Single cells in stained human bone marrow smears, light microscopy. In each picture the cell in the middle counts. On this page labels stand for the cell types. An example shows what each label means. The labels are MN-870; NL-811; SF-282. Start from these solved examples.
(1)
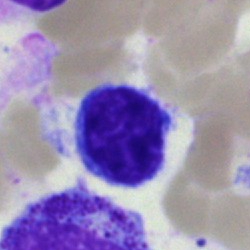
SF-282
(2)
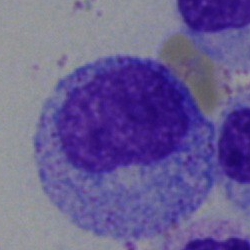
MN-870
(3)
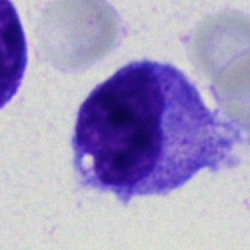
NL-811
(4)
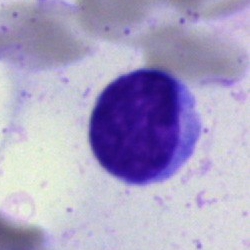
SF-282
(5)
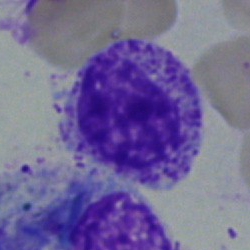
NL-811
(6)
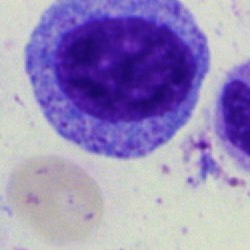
MN-870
